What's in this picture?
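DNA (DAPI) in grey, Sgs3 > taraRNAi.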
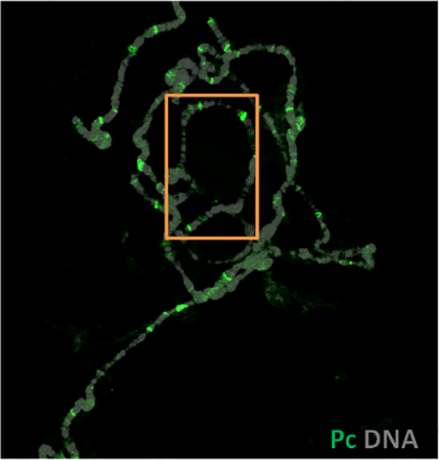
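Squashed polytene chromosomes spread as long, banded grey arms forming loops across the field. Green bands are present at scattered sites along the arms, with long stretches lacking them. An orange box outlines a looped region of the chromosomes.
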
